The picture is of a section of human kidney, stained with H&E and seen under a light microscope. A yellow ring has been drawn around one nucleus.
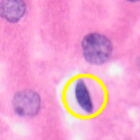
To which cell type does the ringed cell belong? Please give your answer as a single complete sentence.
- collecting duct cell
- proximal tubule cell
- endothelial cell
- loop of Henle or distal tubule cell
In this section, the ringed cell is an endothelial cell.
